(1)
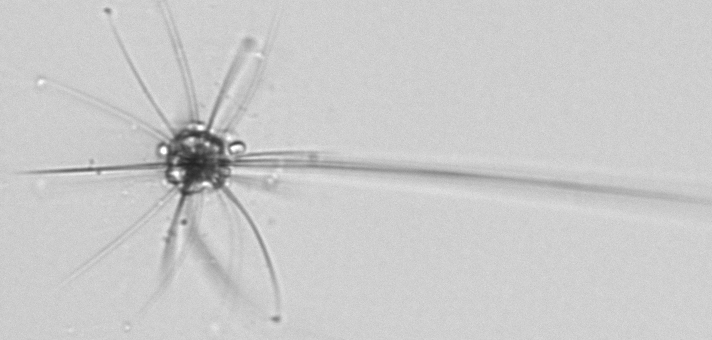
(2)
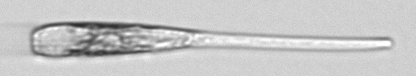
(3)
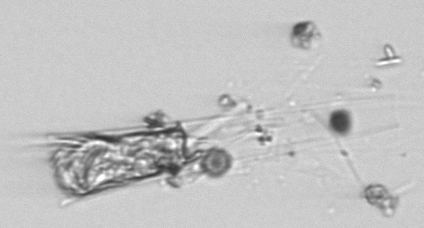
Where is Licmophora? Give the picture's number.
2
